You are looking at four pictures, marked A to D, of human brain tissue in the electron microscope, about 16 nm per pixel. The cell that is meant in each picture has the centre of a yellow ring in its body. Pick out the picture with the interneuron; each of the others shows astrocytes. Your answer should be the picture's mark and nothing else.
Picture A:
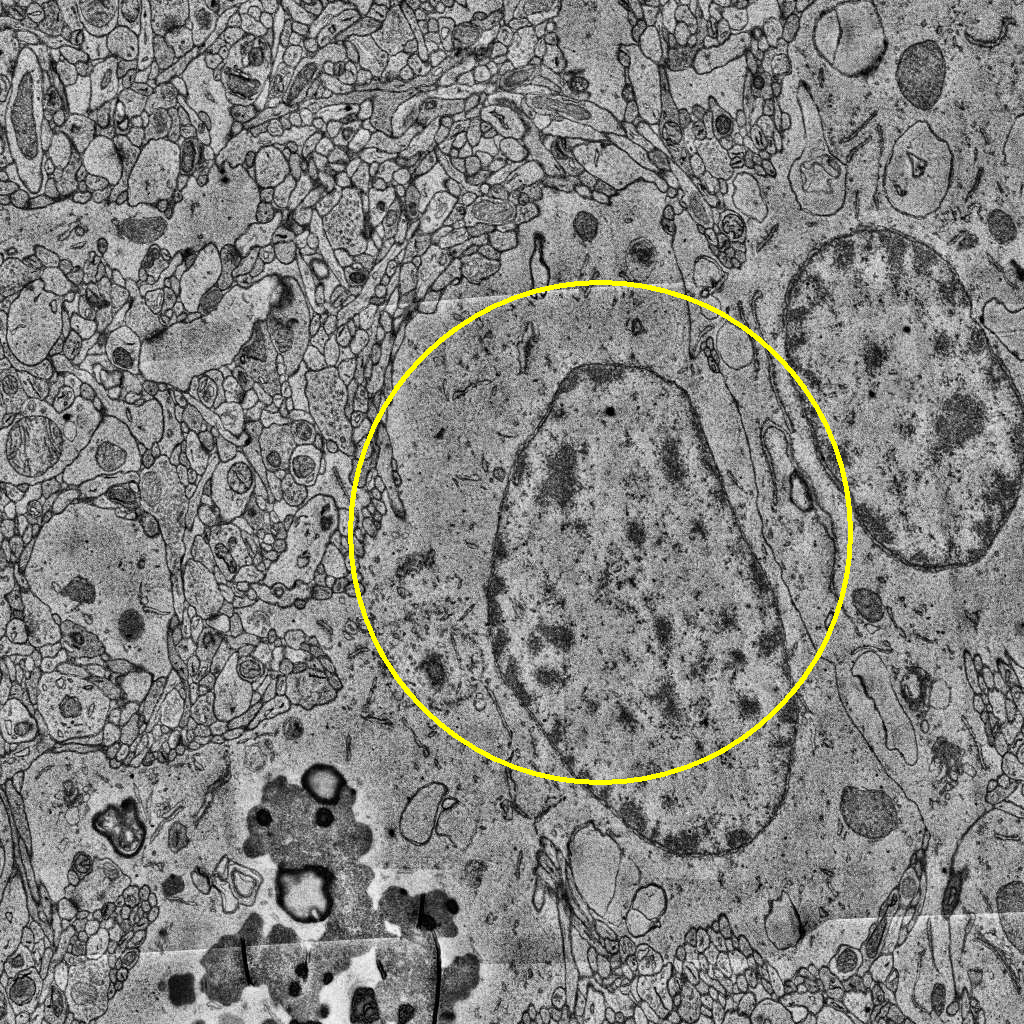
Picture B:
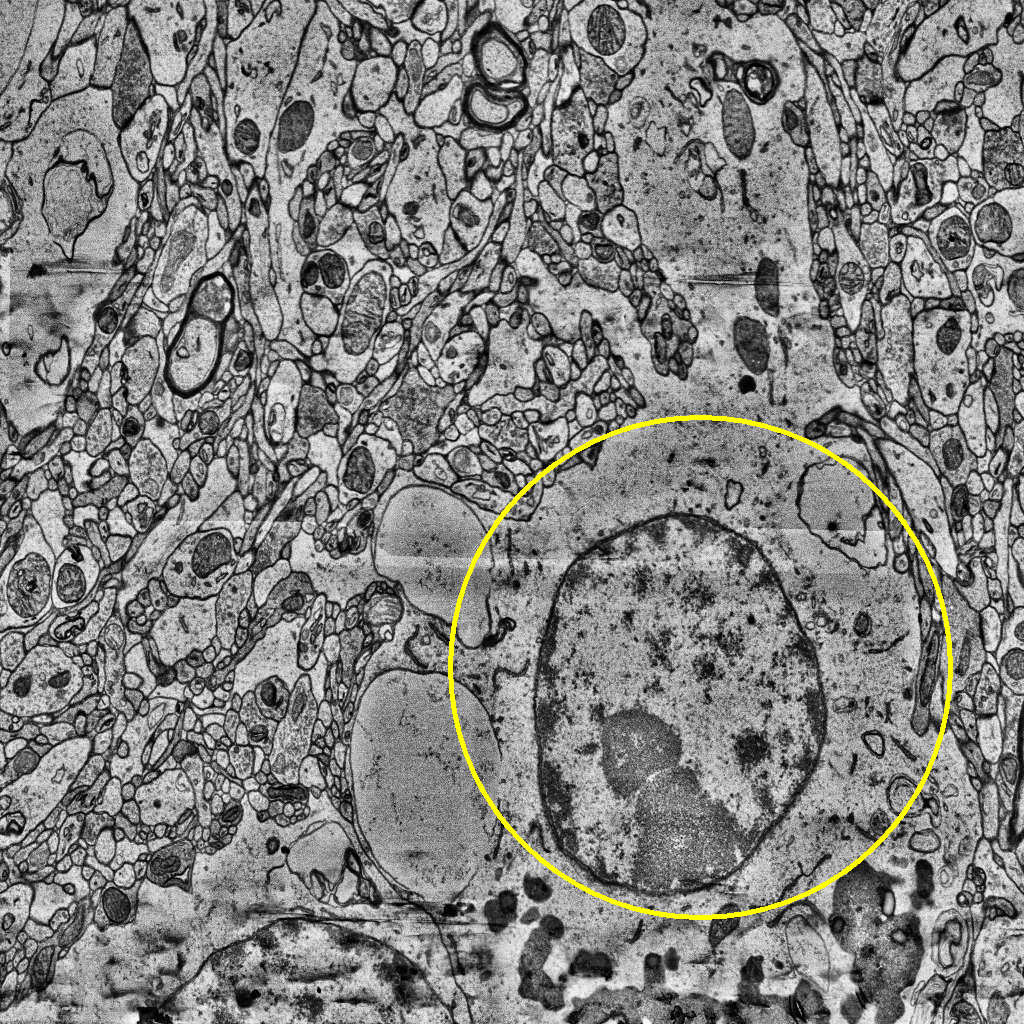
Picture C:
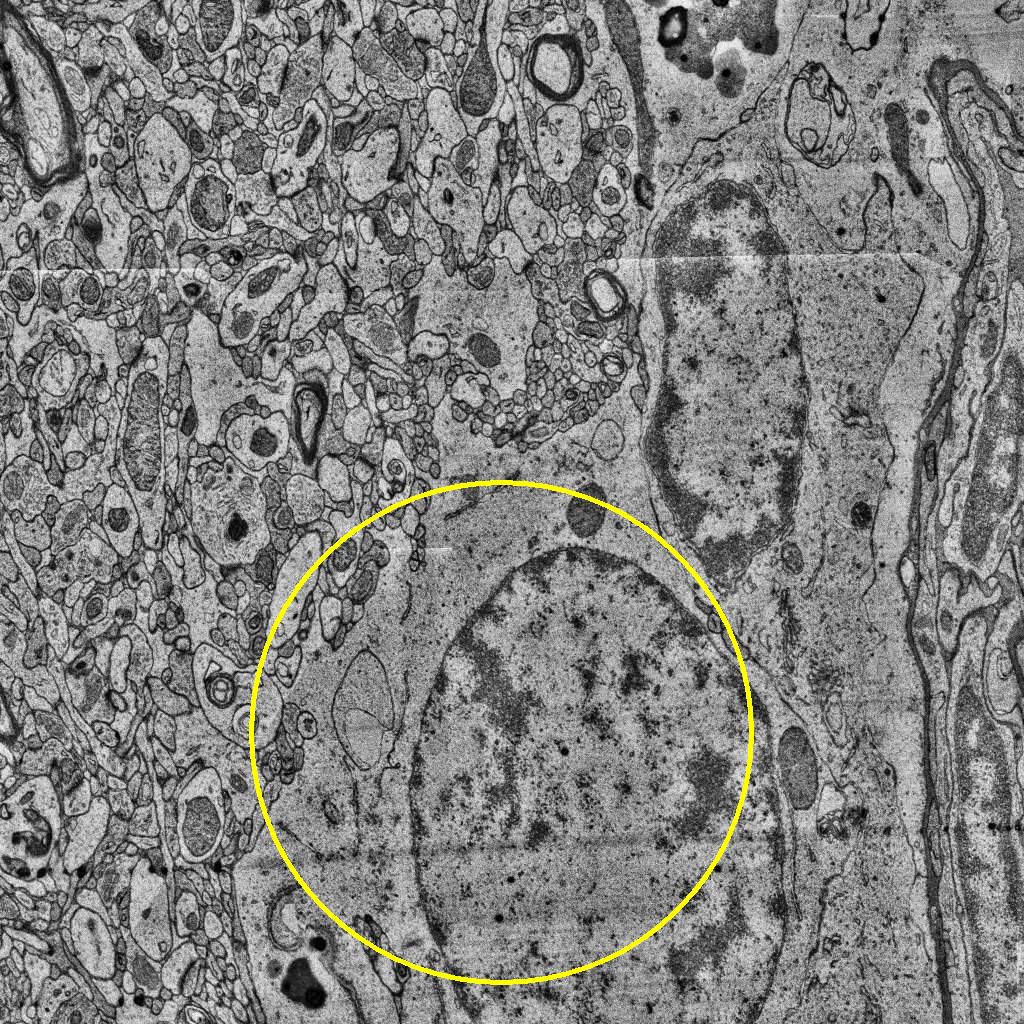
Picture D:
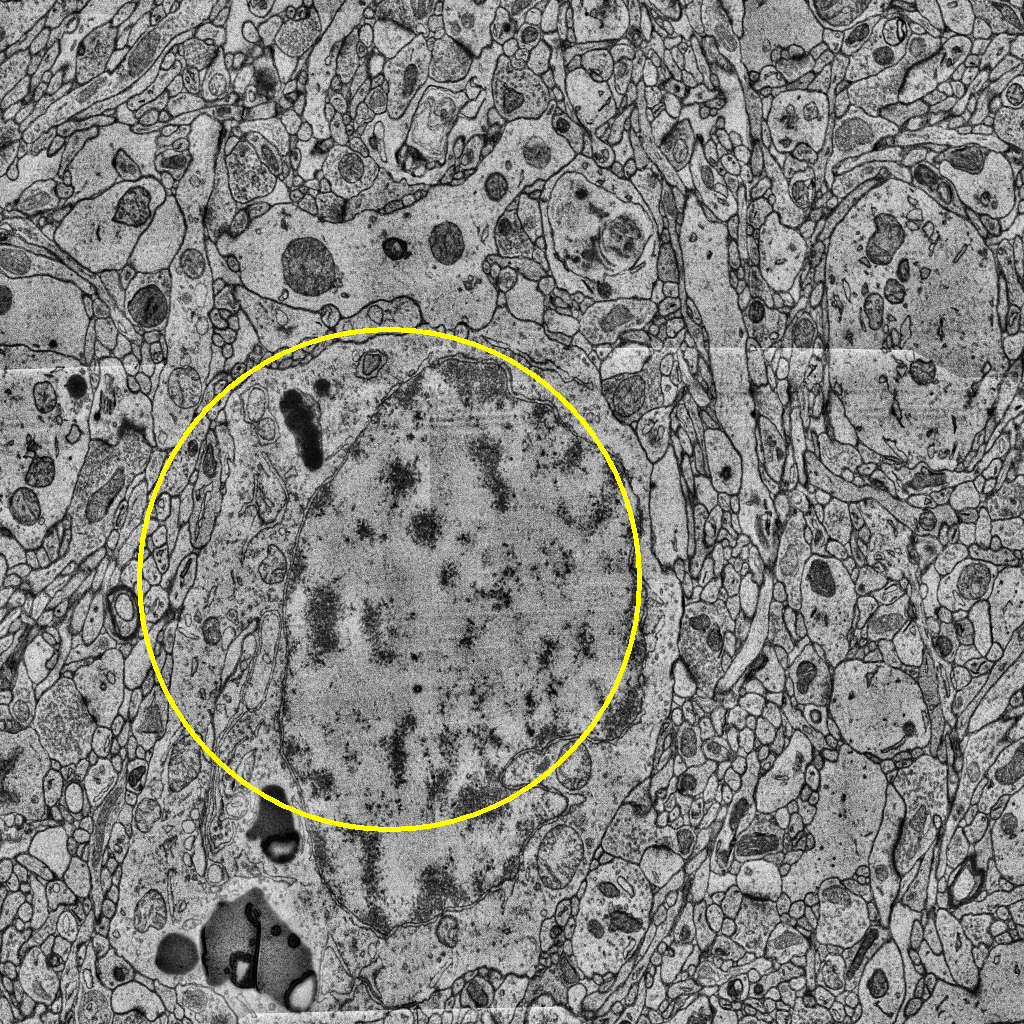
D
